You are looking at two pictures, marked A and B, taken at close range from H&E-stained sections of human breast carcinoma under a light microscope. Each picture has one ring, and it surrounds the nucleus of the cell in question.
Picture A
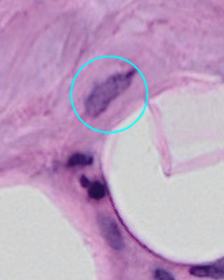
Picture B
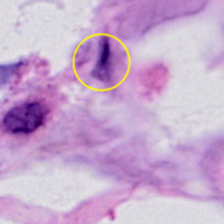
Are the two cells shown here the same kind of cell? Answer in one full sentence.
Yes; the cells in both pictures are fibroblasts.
